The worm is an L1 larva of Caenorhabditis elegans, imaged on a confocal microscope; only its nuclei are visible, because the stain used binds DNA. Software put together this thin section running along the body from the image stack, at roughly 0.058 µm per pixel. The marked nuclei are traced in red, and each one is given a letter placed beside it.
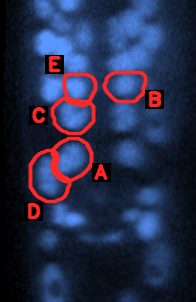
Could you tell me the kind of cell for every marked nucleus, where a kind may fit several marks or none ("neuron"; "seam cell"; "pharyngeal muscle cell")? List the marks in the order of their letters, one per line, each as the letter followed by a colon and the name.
A: pharyngeal muscle cell
B: neuron
C: pharyngeal muscle cell
D: seam cell
E: neuron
